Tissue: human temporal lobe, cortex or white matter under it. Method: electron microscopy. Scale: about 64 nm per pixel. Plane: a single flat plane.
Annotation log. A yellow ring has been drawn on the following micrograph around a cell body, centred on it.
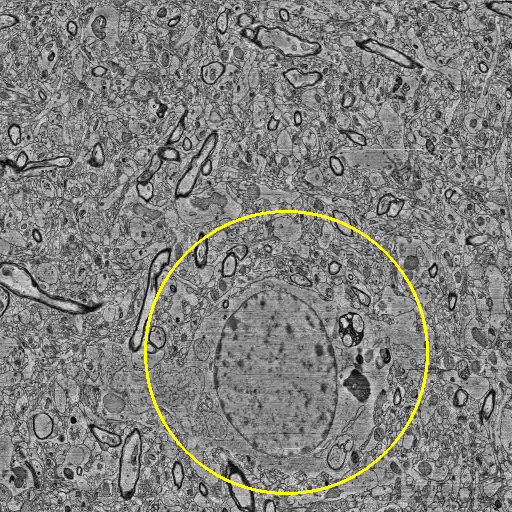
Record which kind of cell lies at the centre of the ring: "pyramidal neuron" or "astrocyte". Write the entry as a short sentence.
The cell the ring is centred on is an astrocyte.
